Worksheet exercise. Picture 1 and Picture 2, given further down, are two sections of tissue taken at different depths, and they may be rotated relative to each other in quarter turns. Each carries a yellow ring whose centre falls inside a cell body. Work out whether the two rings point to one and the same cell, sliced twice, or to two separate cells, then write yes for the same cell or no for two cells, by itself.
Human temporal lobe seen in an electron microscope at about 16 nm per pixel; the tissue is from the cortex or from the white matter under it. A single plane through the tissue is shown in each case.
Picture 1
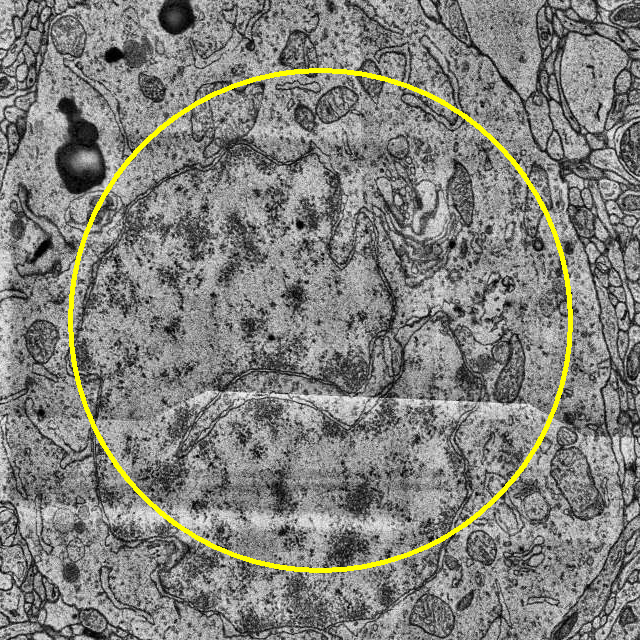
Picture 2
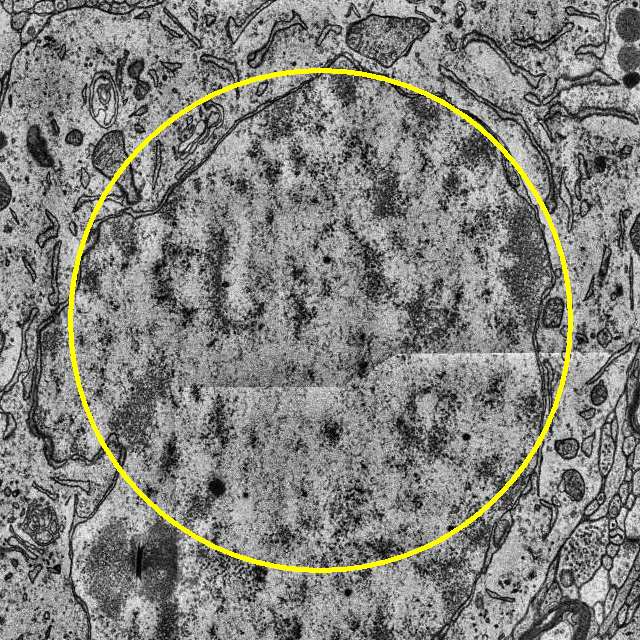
no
